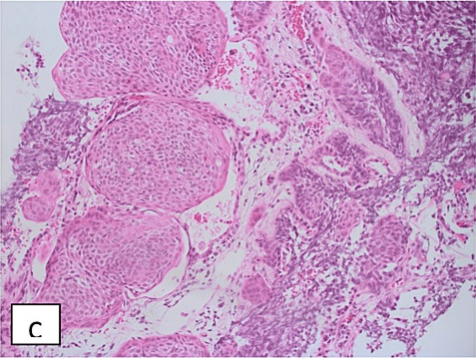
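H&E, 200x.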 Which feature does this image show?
Nests and islands of epithelial cells.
